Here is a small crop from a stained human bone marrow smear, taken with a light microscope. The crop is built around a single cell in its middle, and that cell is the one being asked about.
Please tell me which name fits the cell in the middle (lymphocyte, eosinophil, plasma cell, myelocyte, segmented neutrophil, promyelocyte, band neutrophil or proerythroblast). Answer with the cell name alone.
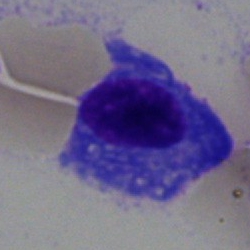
plasma cell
